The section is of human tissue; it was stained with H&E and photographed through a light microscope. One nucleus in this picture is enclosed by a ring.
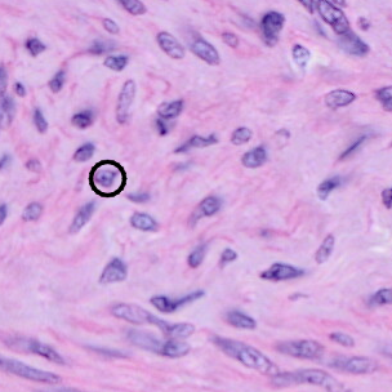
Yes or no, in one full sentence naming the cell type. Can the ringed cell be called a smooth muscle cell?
Yes, it is as a smooth muscle cell that the ringed cell is classified.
